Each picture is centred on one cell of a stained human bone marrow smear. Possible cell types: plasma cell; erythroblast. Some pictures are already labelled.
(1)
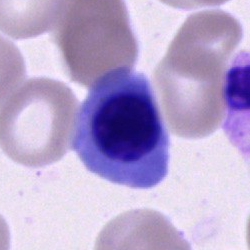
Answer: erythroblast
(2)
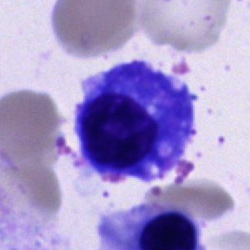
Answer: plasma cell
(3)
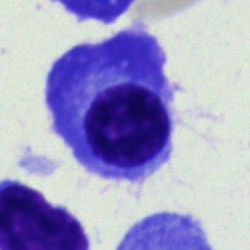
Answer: plasma cell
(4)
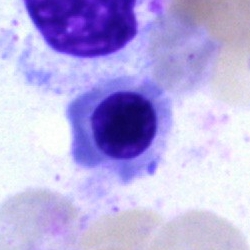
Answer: erythroblast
